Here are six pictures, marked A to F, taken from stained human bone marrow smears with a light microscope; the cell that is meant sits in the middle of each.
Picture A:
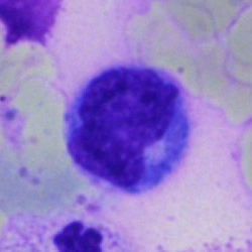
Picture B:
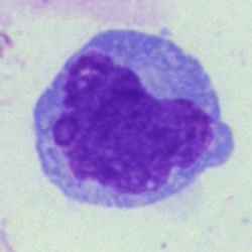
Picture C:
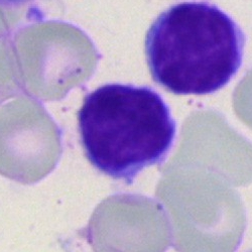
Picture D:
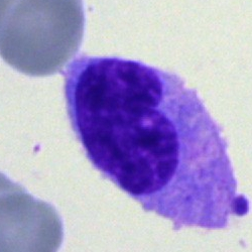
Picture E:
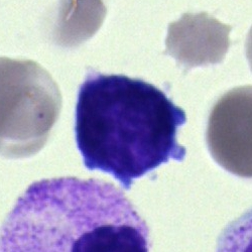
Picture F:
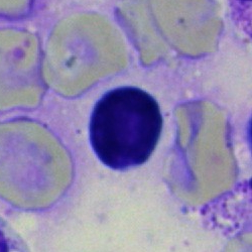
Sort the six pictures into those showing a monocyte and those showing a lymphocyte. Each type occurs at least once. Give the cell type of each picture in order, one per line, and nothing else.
monocyte
monocyte
lymphocyte
monocyte
lymphocyte
lymphocyte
